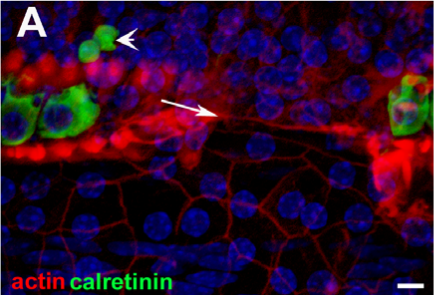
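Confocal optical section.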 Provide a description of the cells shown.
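A sheet of flattened, polygonal epithelial cells fills the middle and lower part of the field, their borders drawn as thin red lines, each with one round blue nucleus. On either side near the top sit large, rounded green cells, and a small cluster of green globules lies above the gap between them. A thicker red band runs across the field where the flat cells from below meet a row of cells higher up. This is a squamous-like patch of epithelium interrupting the strip of sensory epithelium, with surviving sensory hair cells at its edges and clumps of degenerating cell material nearby.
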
